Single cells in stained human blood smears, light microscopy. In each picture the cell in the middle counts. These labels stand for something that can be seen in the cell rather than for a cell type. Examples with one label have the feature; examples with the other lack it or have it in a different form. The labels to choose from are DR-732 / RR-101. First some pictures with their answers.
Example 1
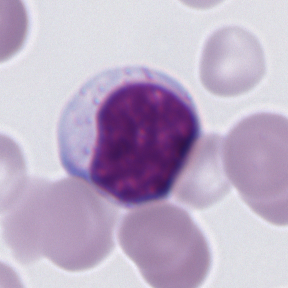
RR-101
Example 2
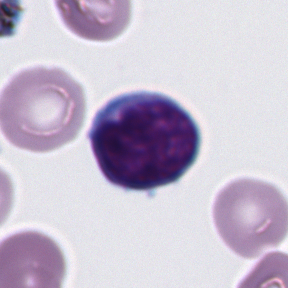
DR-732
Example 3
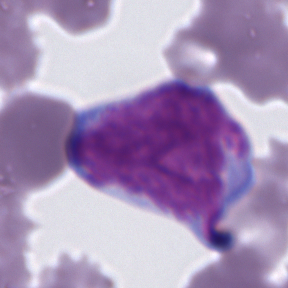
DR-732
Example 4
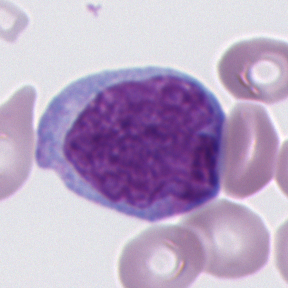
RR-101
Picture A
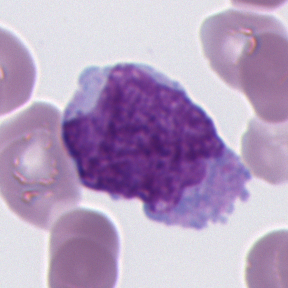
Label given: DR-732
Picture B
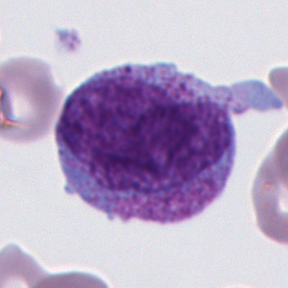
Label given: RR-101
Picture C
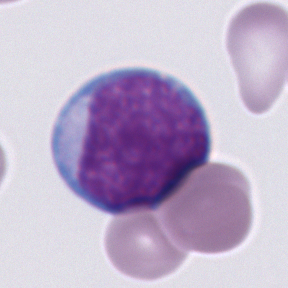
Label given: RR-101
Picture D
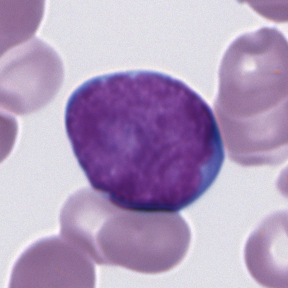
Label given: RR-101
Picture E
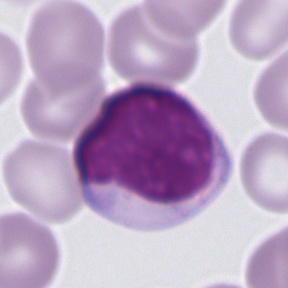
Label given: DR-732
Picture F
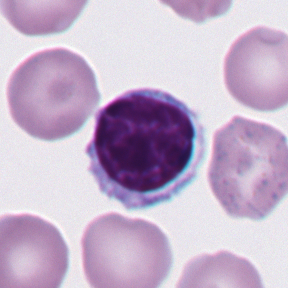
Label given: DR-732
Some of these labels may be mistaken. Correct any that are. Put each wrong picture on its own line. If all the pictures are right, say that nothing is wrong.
B: not RR-101 but DR-732
E: not DR-732 but RR-101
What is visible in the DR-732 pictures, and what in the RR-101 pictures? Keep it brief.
DR-732, ragged outline or projections; RR-101, smooth outline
